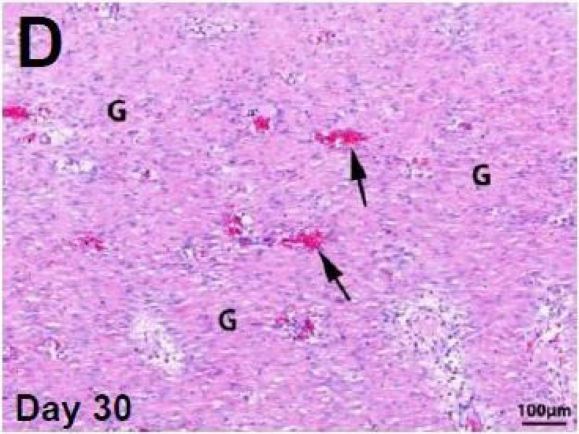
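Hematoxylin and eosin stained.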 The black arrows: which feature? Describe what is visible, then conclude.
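The arrows point to small clusters of bright red cells. These red clusters are scattered through pink fibrous tissue.
Answer: blood vessels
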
